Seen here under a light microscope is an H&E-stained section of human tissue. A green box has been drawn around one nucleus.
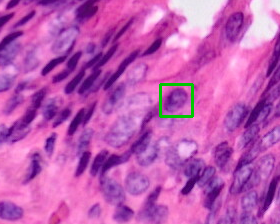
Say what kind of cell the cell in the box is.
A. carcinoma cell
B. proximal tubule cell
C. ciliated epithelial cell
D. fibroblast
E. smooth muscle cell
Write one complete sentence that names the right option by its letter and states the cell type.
Option C is the correct one: the cell in the box is a ciliated epithelial cell.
